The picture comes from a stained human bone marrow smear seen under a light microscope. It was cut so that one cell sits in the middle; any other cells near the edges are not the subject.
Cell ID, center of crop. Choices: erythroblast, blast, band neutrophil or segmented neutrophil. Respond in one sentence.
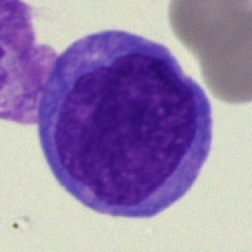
For this crop, the central cell is a blast.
